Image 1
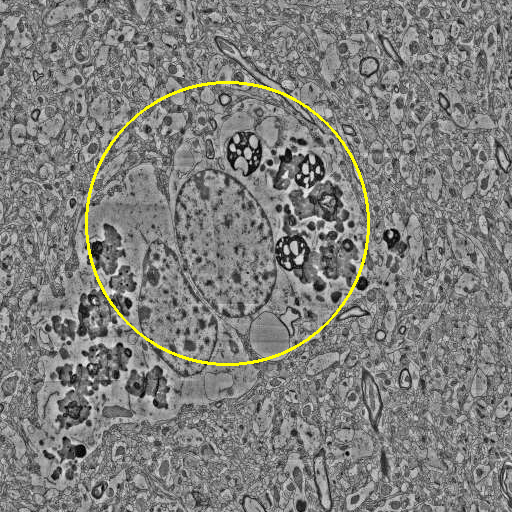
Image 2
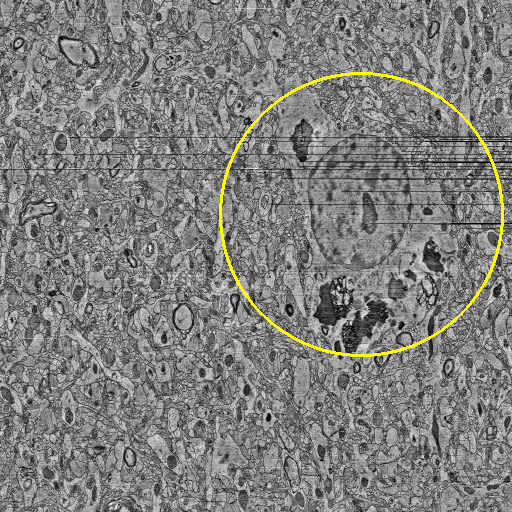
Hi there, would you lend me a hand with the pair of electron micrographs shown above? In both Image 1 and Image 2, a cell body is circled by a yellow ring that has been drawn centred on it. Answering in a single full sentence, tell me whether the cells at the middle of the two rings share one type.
Yes, the ringed cells in Image 1 and Image 2 share one type.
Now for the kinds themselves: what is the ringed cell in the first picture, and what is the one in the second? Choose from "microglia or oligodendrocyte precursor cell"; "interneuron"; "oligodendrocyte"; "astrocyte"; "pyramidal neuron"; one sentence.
Both pictures show an astrocyte at the centre of the ring.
